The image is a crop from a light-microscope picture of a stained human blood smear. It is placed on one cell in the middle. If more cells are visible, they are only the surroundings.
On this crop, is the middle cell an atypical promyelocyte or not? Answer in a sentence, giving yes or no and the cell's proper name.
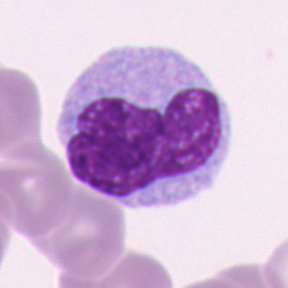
No, a monocyte rather than an atypical promyelocyte is the cell at the centre of the crop.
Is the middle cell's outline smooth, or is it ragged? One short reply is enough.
Its surface contour is regular and smooth, without any protrusions.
